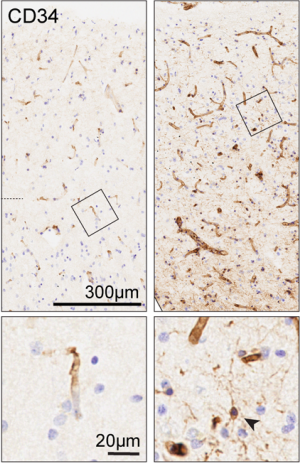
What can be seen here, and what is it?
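Cerebral cortex with blood vessels stained brown and nuclei in blue, two sections side by side with enlargements below. The left section shows sparse thin capillaries in pale parenchyma, while the right shows more numerous brown vessels along with small brown-stained cells bearing fine processes scattered between them, one marked by an arrowhead in the enlargement.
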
